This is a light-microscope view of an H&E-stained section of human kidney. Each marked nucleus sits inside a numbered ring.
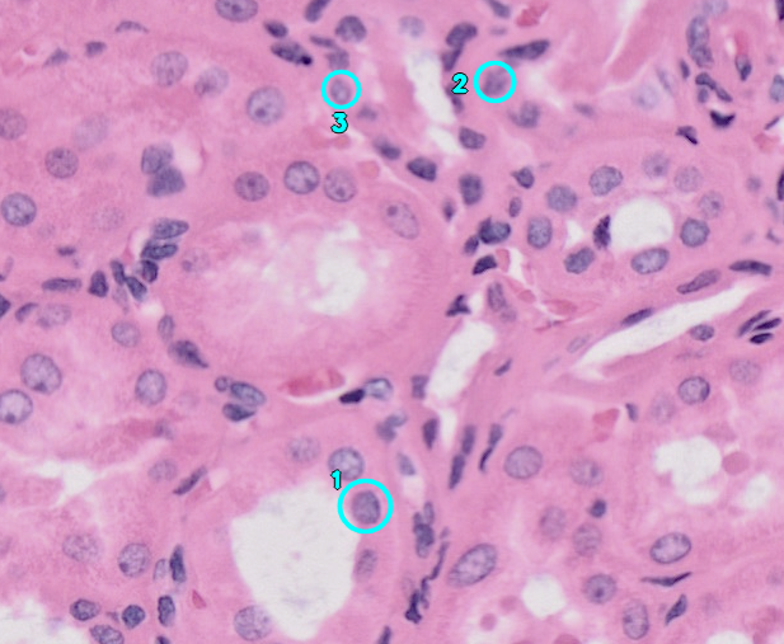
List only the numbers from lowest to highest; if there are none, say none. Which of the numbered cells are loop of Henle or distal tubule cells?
1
